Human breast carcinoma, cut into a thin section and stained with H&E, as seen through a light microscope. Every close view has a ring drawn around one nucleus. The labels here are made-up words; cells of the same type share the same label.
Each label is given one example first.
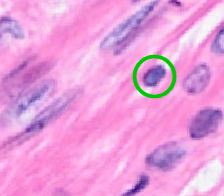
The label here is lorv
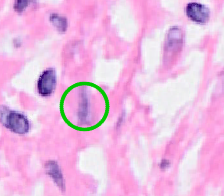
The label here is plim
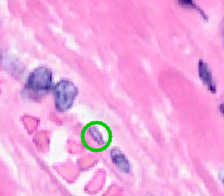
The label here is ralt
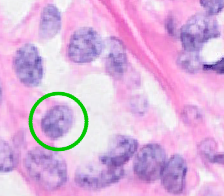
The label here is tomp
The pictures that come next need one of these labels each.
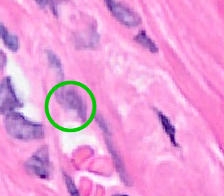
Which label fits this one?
ralt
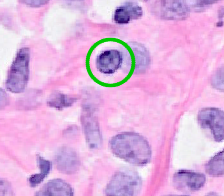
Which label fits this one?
lorv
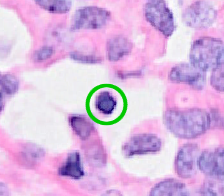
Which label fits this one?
lorv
